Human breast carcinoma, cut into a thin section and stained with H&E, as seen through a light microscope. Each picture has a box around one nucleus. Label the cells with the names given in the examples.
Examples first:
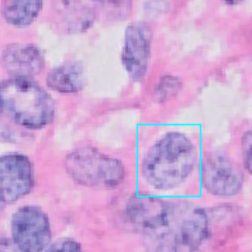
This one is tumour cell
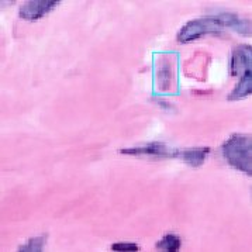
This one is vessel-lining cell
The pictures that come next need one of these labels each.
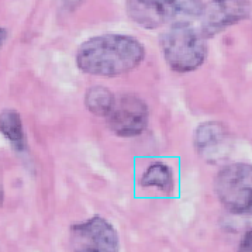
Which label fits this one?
vessel-lining cell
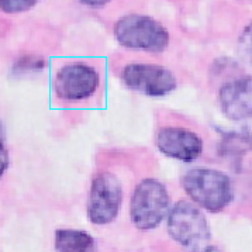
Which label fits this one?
tumour cell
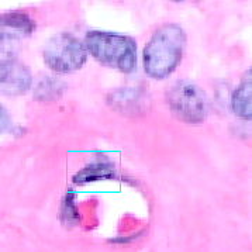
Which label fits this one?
vessel-lining cell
